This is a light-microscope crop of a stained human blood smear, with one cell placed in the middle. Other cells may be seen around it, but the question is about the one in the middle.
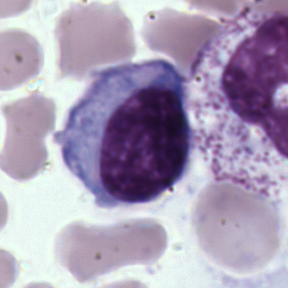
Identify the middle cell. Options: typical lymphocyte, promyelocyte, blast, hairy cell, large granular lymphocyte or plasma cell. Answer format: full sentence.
Where the crop is centred, there is a plasma cell.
